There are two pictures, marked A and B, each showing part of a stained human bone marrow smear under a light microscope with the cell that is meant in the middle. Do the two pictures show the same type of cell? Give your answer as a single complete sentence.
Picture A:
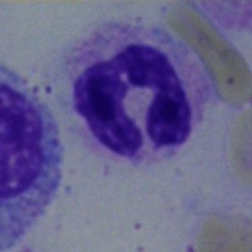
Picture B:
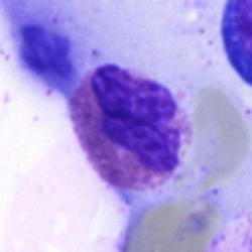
No; the cell in picture A is a segmented neutrophil, while the one in picture B is an eosinophil.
